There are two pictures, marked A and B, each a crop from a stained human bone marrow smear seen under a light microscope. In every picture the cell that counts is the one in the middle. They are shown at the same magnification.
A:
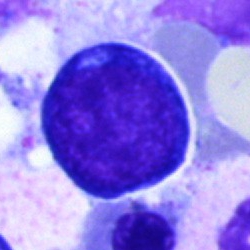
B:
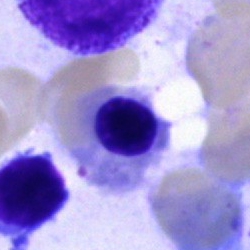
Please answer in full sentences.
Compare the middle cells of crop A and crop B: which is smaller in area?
Smaller is the cell in crop B, and the other is about 2.5 times as large in area.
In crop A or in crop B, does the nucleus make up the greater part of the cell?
It is the cell in crop A that is filled more by its nucleus.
